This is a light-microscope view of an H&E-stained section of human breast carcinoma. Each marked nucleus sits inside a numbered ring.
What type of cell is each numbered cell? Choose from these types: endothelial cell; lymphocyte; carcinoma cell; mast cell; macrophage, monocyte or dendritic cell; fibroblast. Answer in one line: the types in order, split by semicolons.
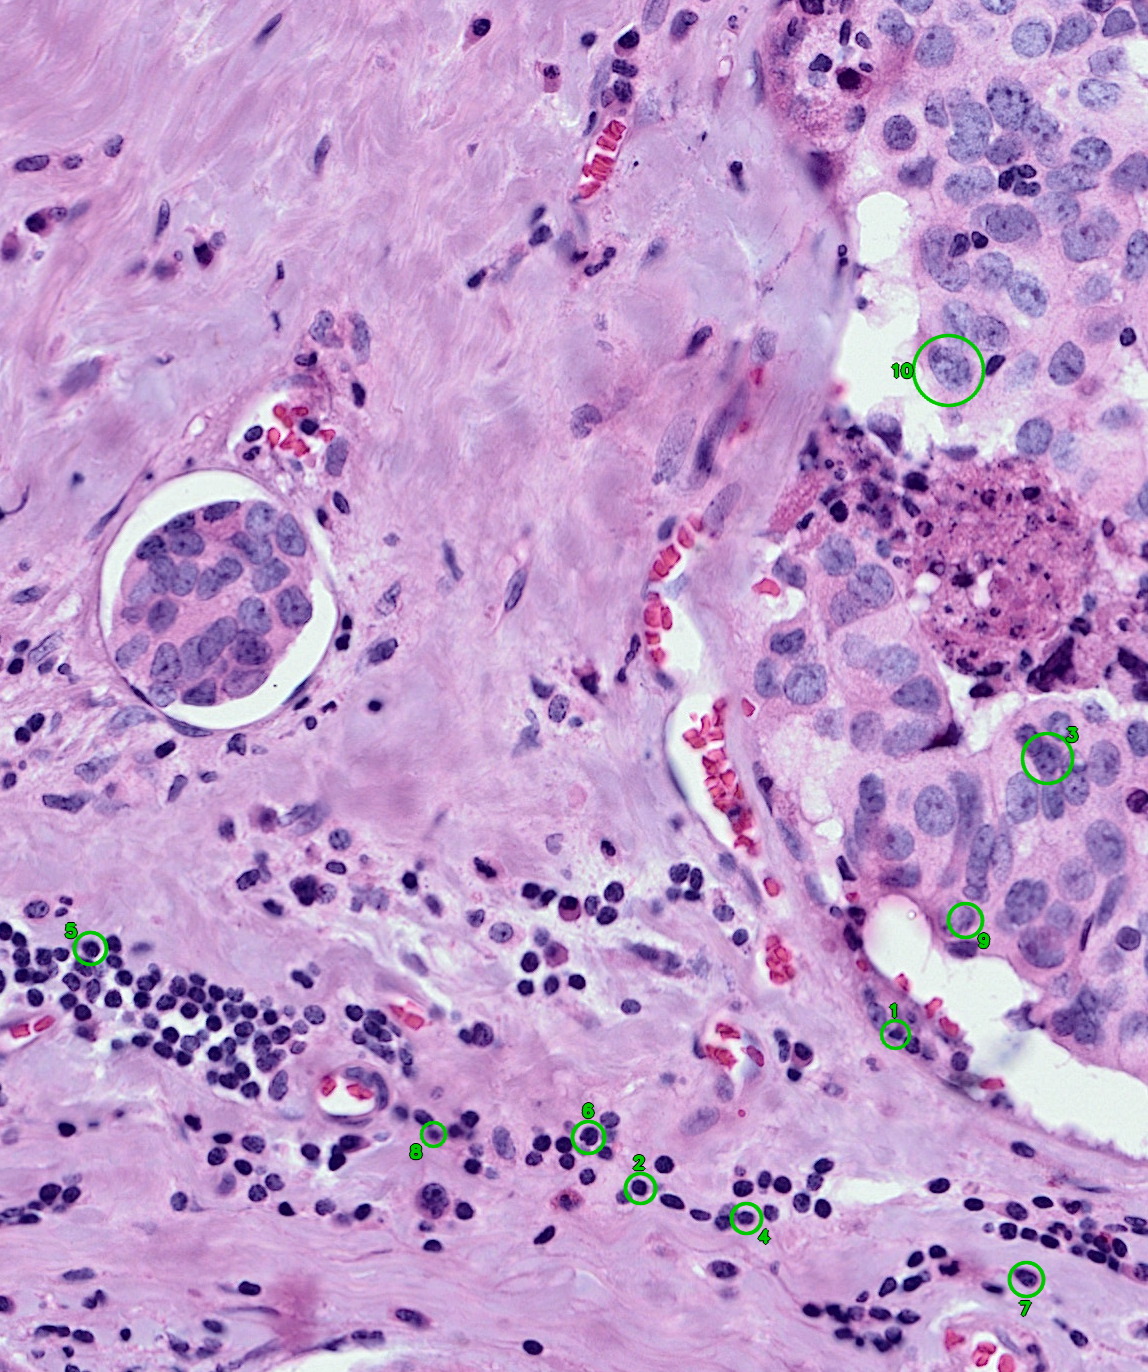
lymphocyte; lymphocyte; carcinoma cell; lymphocyte; lymphocyte; lymphocyte; mast cell; lymphocyte; carcinoma cell; carcinoma cell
